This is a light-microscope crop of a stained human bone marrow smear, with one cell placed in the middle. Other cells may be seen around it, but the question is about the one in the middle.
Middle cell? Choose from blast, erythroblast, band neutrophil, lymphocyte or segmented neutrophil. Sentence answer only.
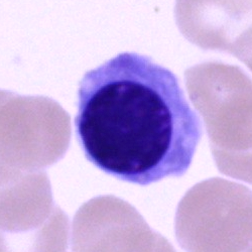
The centrally positioned cell in the crop represents an erythroblast.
